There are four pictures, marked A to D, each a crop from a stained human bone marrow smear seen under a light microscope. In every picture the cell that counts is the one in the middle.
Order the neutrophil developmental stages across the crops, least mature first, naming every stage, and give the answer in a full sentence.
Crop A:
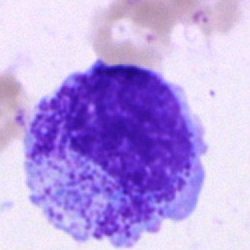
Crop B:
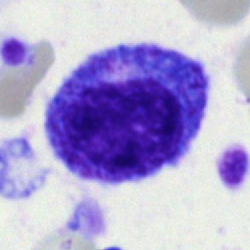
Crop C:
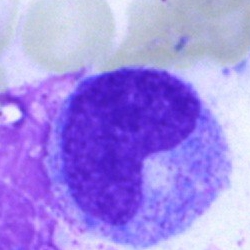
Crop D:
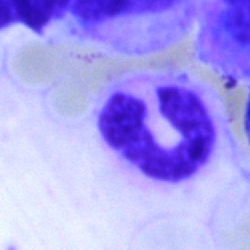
Least to most mature, the order stands as crop A (a promyelocyte), crop B (a myelocyte), crop C (a metamyelocyte) and crop D (a band neutrophil).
